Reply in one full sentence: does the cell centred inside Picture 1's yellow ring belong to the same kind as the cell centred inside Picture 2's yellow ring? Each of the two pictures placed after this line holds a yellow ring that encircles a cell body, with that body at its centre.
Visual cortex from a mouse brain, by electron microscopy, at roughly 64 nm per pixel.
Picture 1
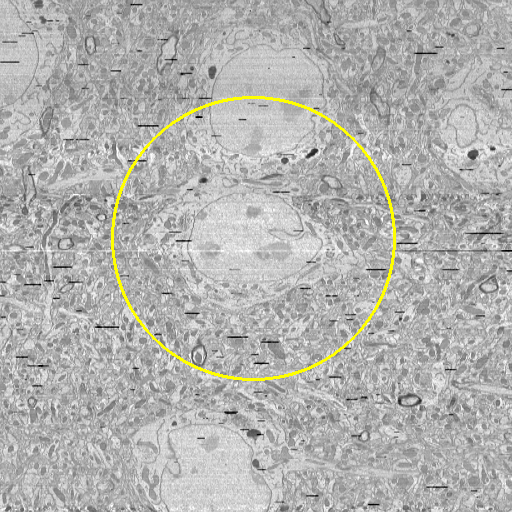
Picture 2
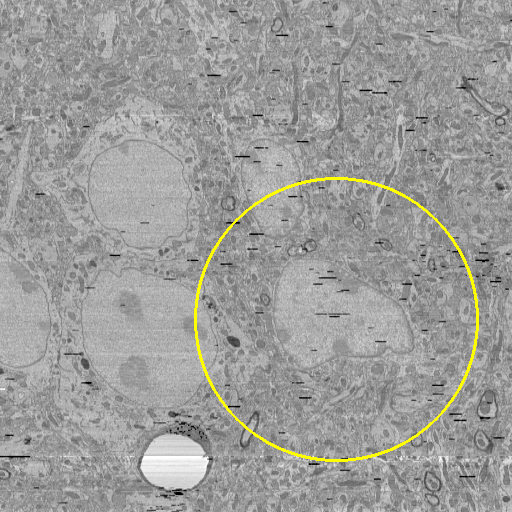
No, the ring-centred cells in Picture 1 and Picture 2 are of two separate kinds.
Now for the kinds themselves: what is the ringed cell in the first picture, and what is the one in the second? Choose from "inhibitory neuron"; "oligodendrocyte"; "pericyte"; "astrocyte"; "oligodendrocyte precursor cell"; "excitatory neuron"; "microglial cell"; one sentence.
Here the first cell is an excitatory neuron and the second cell is an astrocyte.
